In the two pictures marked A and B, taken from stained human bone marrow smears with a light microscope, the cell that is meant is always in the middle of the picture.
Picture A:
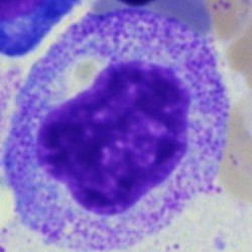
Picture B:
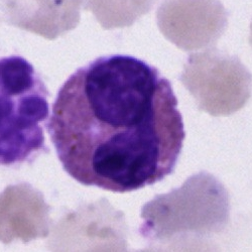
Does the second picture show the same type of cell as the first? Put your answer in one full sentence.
No; the cell in picture A is a metamyelocyte, while the one in picture B is an eosinophil.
